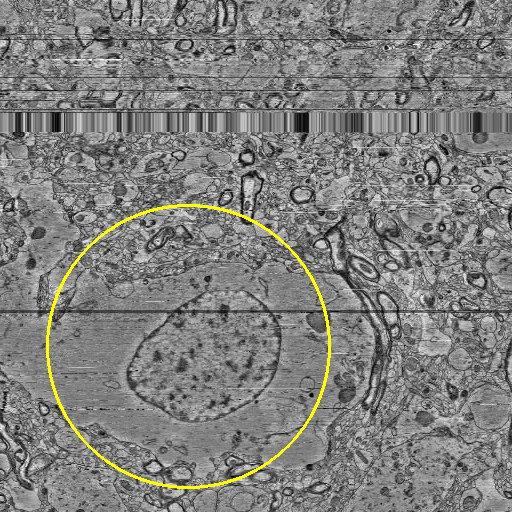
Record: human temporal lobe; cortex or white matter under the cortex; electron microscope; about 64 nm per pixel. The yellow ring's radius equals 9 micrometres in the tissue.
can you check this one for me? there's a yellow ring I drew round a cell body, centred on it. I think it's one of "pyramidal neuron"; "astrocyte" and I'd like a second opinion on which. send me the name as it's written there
astrocyte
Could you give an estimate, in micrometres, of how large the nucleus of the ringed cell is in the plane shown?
In this plane, the nucleus of the cell at the centre of the ring measures about 10 by 8 micrometres.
